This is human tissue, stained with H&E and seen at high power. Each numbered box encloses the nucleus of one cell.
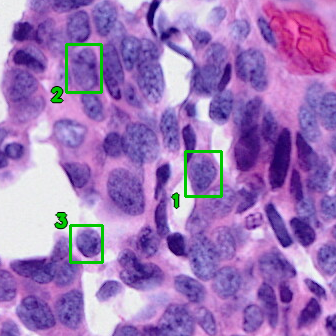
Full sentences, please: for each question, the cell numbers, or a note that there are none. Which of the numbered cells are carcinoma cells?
The cells carrying labels 1 and 2 are carcinoma cells.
